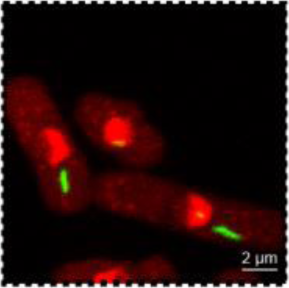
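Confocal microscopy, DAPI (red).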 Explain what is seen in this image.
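These are rod-shaped fission yeast cells with rounded ends, seen in fluorescence, each carrying green filaments in the cytoplasm. The cytoplasm shows a faint, diffuse red glow, while a bright, compact red mass marks the nucleus near the middle of each cell. Short, straight green rods lie in the cytoplasm, one per cell where visible. Some of these rods lie close beside the nucleus, others further away along the long axis of the cell. No diffuse green is seen in the cytoplasm outside the filaments.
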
